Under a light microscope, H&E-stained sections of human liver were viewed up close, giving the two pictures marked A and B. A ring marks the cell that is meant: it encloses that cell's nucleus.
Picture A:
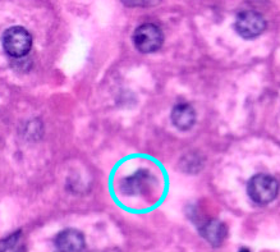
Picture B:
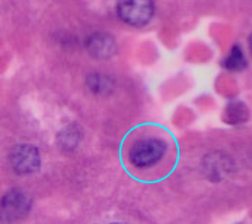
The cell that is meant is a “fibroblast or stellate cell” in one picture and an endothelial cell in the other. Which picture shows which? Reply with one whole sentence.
The cell in picture A is an endothelial cell, and the one in picture B is a “fibroblast or stellate cell”.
